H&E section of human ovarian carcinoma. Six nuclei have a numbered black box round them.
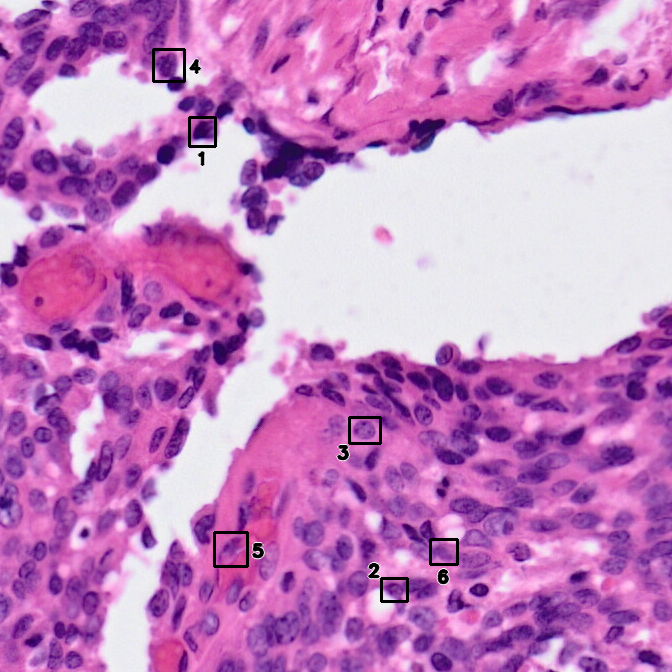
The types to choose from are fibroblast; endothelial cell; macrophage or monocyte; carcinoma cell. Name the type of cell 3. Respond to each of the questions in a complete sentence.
Cell 3 in the field is a macrophage or monocyte.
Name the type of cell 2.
In this section, the cell numbered 2 is a carcinoma cell.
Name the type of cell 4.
The correct label for cell 4 is a carcinoma cell.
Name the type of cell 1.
Within this field of view, the cell labelled 1 is a carcinoma cell.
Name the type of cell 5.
The cell marked with number 5 is an endothelial cell.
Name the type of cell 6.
The cell that carries the label 6 is a carcinoma cell.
